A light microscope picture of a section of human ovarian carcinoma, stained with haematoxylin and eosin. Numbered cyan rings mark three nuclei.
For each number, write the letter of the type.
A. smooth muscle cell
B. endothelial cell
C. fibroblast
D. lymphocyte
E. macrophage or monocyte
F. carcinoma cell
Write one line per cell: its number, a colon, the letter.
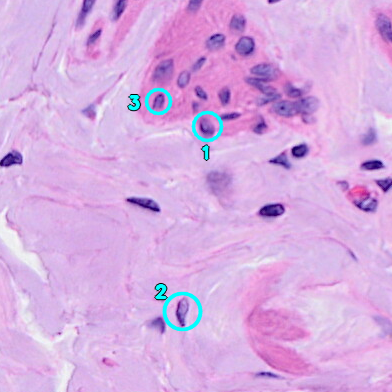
1: A
2: C
3: A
